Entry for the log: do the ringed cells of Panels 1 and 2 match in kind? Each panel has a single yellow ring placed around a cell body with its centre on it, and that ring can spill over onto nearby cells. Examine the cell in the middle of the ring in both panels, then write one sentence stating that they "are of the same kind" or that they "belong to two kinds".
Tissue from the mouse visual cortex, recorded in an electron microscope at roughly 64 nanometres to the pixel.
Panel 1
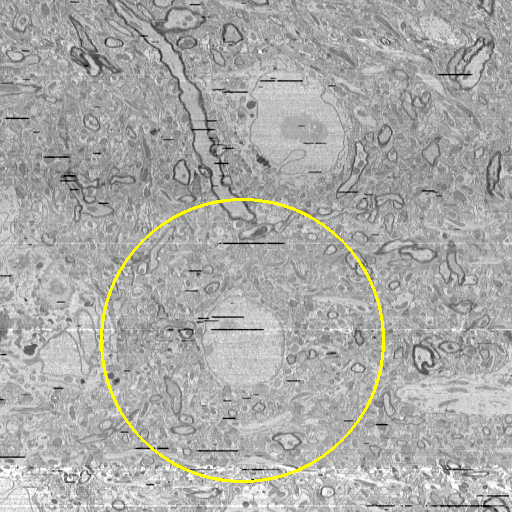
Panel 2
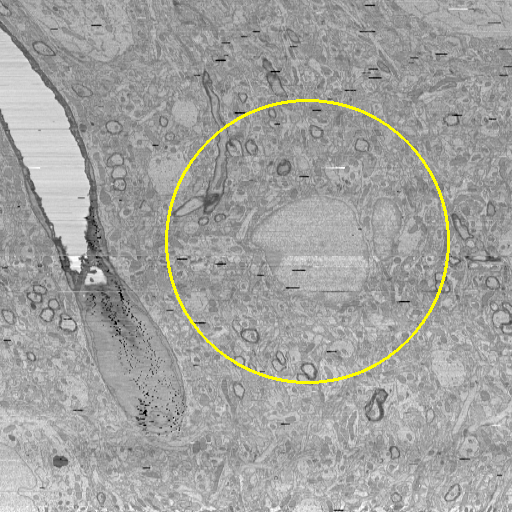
The centre cell of Panel 1's ring and that of Panel 2's ring are of the same kind.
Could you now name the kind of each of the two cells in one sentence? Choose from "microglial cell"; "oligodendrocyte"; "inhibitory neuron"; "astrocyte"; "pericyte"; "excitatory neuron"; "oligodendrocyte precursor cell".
Each of the two cells is an astrocyte.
